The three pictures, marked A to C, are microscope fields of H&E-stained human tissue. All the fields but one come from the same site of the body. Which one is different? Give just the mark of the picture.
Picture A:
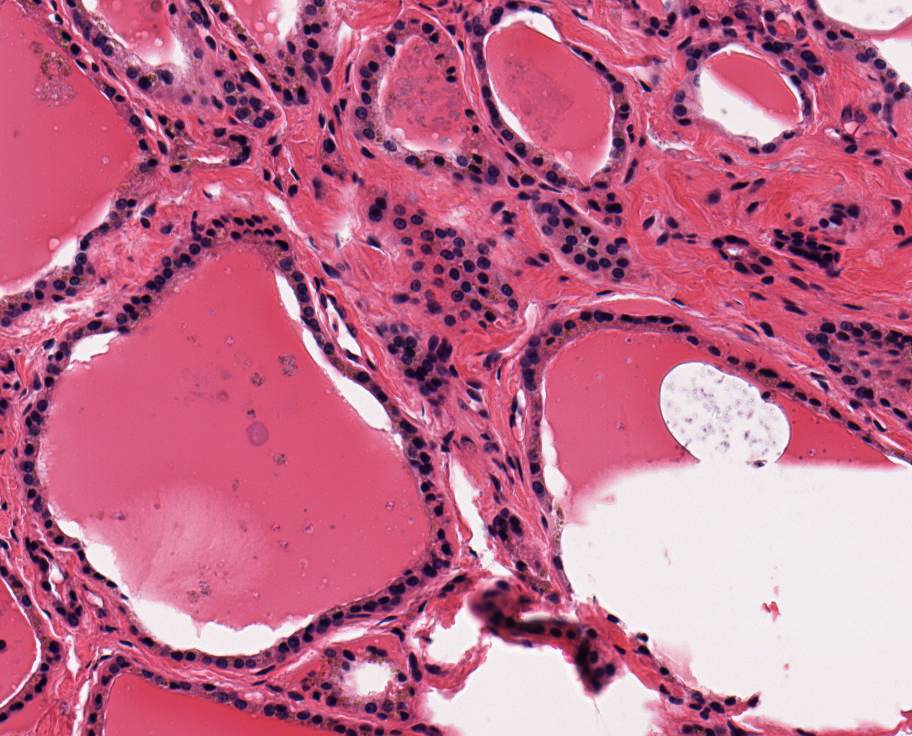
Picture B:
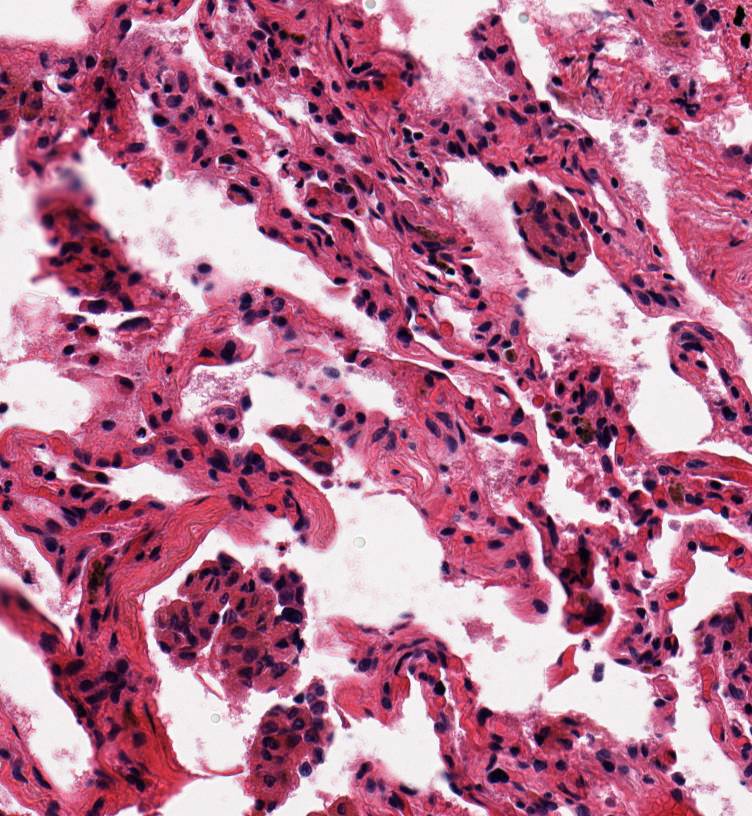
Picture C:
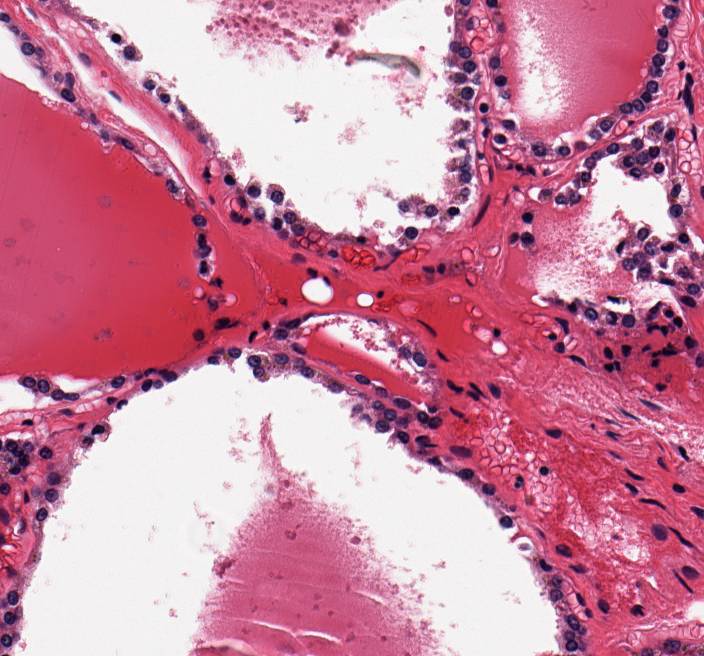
B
